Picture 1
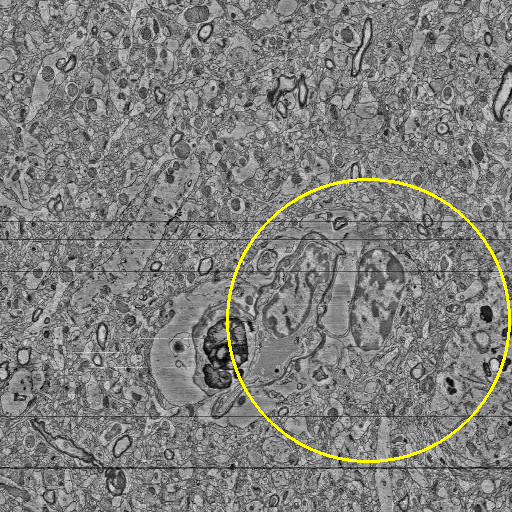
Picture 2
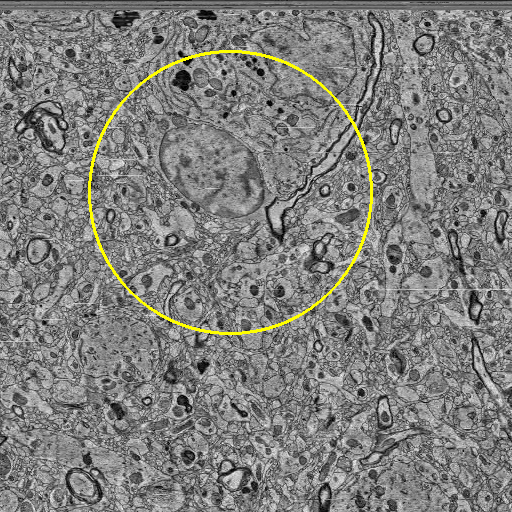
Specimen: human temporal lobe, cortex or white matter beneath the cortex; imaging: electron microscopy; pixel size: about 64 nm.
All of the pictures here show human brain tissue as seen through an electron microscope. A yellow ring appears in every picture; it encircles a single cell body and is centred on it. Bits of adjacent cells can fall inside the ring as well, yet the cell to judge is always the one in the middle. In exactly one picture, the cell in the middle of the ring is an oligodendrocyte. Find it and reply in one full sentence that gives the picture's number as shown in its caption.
Of all the pictures, picture 2 has the right cell at the centre of its ring.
